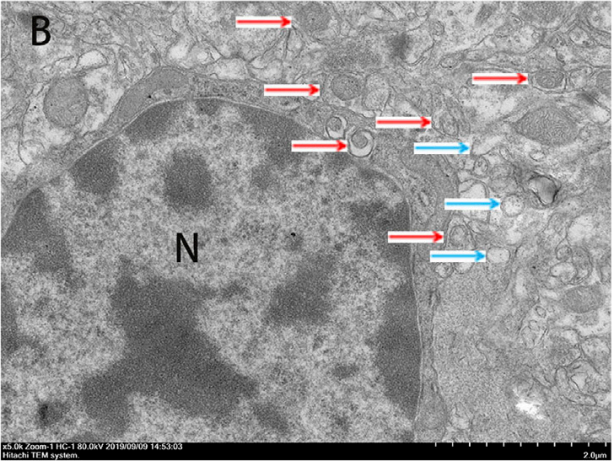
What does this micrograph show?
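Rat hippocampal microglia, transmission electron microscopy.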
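The chromatin forms coarse, dark clumps scattered through the nucleus and lying along the nuclear envelope. The cytoplasm beside the nucleus holds many round vesicles with double or layered membranes enclosing cytoplasmic material, together with clear, pale vacuoles. Mitochondria and numerous membrane profiles lie among them.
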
